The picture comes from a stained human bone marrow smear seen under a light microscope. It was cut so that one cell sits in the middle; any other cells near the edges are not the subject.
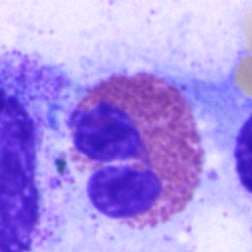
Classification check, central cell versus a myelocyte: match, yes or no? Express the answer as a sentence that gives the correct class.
No, the central cell here is an eosinophil; calling it a myelocyte is not right.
